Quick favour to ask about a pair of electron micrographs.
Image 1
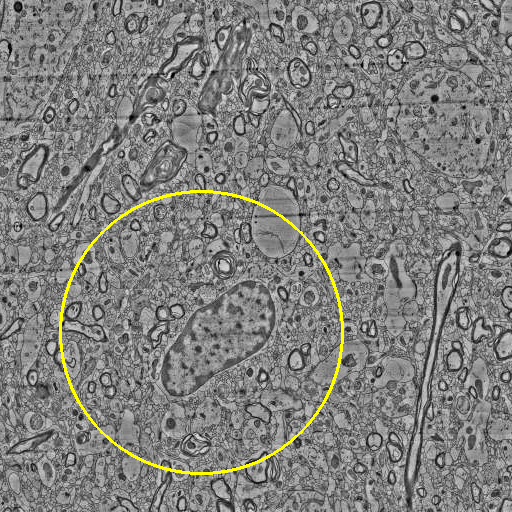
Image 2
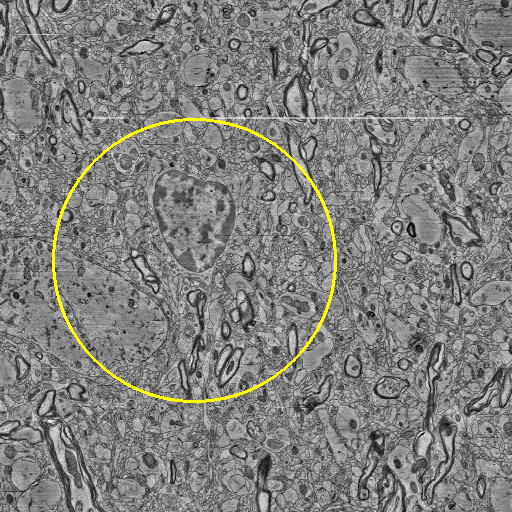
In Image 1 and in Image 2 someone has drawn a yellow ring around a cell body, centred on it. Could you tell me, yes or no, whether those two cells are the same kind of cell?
yes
